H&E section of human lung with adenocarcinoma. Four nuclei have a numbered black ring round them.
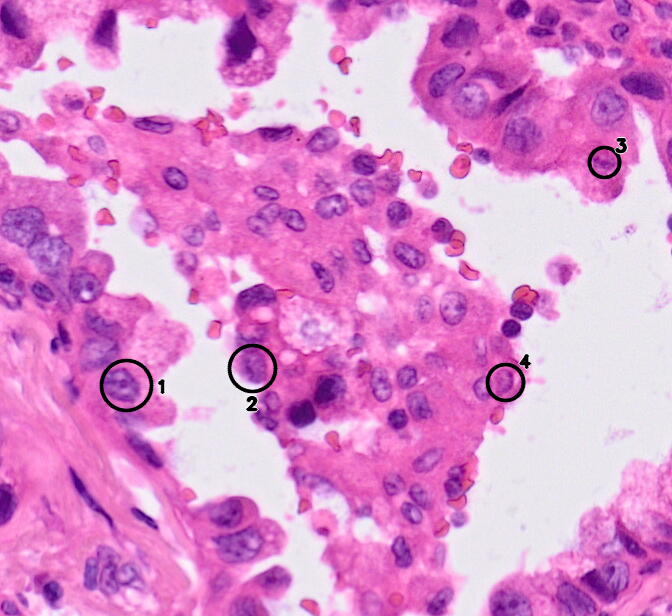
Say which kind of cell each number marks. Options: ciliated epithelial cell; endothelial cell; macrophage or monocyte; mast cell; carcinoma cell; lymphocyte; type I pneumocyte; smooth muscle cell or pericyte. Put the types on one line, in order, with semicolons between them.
carcinoma cell; carcinoma cell; carcinoma cell; macrophage or monocyte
